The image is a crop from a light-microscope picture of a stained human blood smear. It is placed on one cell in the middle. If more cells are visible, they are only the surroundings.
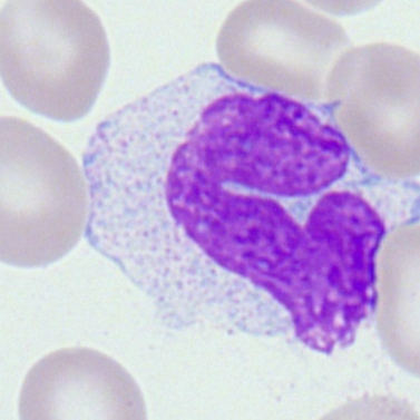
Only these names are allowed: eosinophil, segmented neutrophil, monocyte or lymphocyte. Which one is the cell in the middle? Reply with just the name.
monocyte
